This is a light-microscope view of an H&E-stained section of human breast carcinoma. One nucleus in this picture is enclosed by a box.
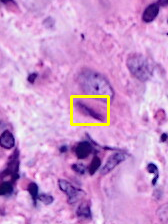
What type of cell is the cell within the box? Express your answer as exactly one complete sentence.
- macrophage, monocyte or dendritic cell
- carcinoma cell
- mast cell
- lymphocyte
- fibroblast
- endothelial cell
On this particular slide, the cell within the box is an endothelial cell.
